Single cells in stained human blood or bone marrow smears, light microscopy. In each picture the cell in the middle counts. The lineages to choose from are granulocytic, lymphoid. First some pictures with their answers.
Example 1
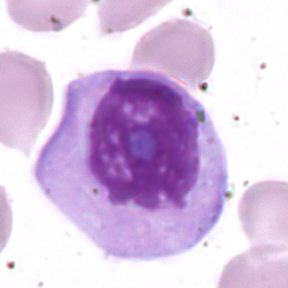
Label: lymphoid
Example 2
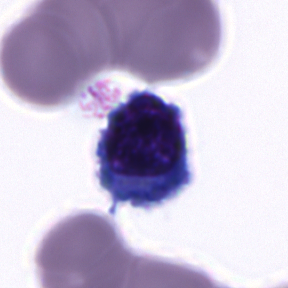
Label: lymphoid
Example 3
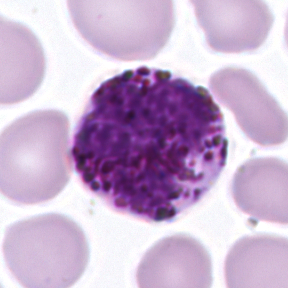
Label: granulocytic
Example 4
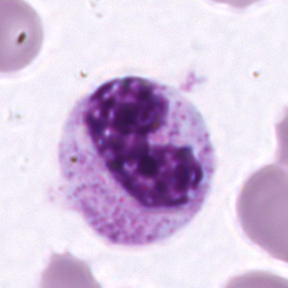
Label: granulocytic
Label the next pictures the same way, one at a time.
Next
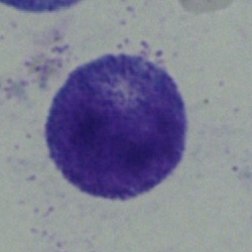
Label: granulocytic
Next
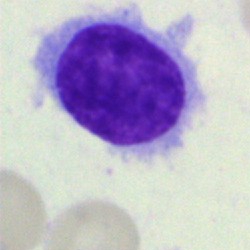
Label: lymphoid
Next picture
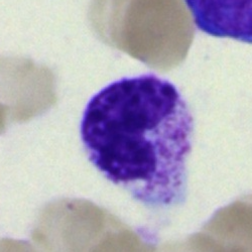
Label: granulocytic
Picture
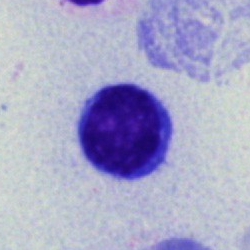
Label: lymphoid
